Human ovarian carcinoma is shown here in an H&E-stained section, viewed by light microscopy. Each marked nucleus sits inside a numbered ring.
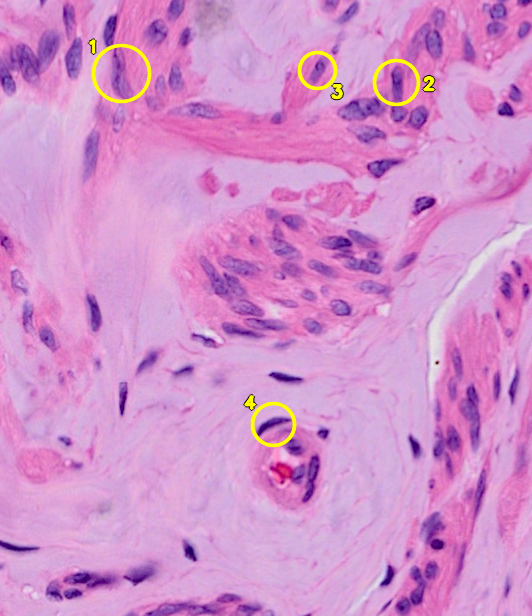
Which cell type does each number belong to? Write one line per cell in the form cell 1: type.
cell 1: smooth muscle cell
cell 2: smooth muscle cell
cell 3: smooth muscle cell
cell 4: fibroblast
